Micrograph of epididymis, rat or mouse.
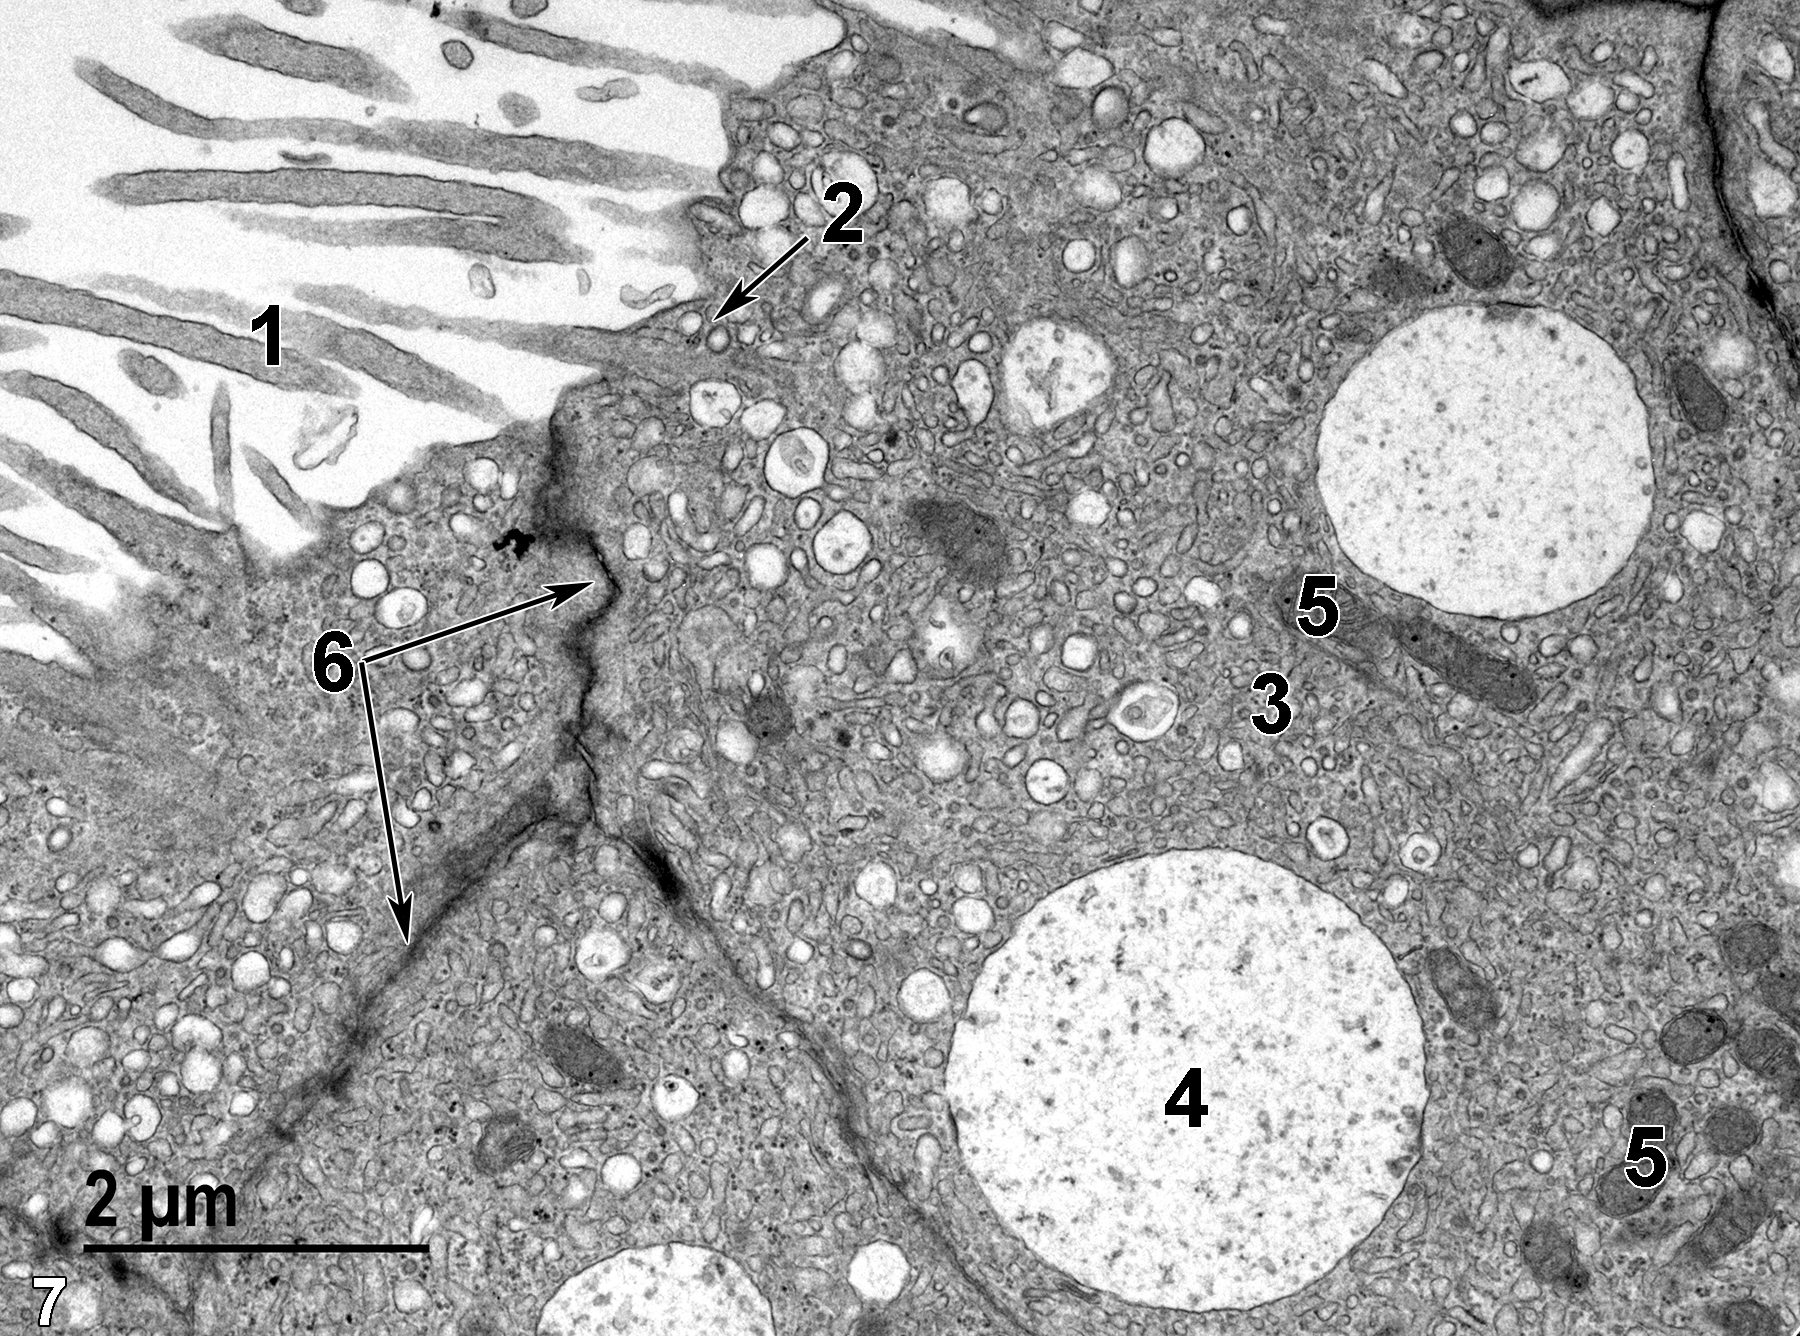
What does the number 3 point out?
smooth endoplasmic reticulum vesicles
